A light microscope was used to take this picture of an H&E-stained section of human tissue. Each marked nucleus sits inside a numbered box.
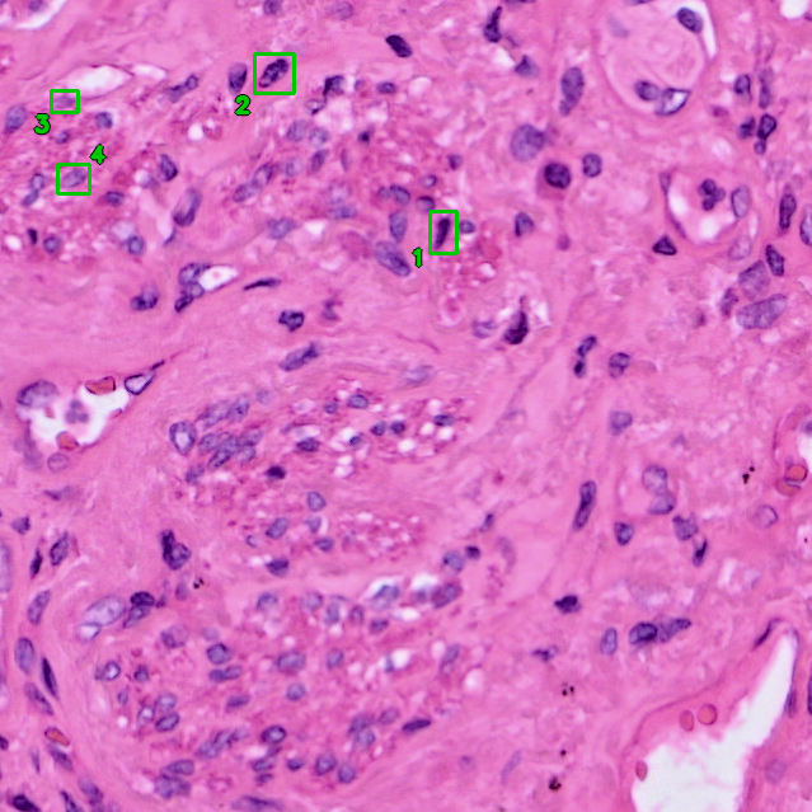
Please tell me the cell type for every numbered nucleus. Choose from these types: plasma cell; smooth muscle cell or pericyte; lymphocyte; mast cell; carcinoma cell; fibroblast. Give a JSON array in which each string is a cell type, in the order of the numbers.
["smooth muscle cell or pericyte", "mast cell", "smooth muscle cell or pericyte", "smooth muscle cell or pericyte"]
